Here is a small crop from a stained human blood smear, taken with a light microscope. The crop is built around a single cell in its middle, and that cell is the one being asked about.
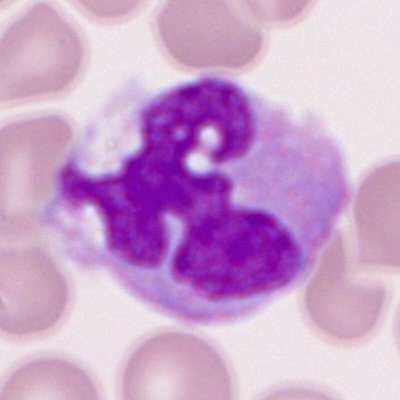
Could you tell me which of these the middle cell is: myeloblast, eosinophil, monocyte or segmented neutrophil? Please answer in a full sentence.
The central element of this crop is a cell, namely a monocyte.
